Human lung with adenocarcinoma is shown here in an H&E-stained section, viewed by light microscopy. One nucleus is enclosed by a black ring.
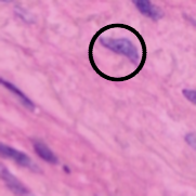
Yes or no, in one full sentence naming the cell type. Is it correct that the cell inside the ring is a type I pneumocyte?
No, rather than being a type I pneumocyte, the cell inside the ring is a smooth muscle cell or pericyte.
